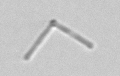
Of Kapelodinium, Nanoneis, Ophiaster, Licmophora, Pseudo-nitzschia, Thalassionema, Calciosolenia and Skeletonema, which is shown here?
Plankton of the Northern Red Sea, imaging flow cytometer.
Nanoneis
